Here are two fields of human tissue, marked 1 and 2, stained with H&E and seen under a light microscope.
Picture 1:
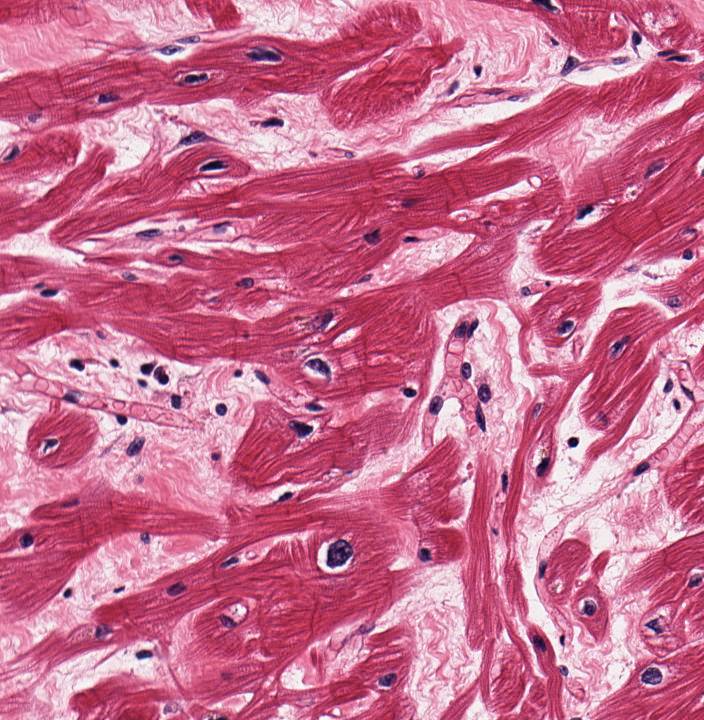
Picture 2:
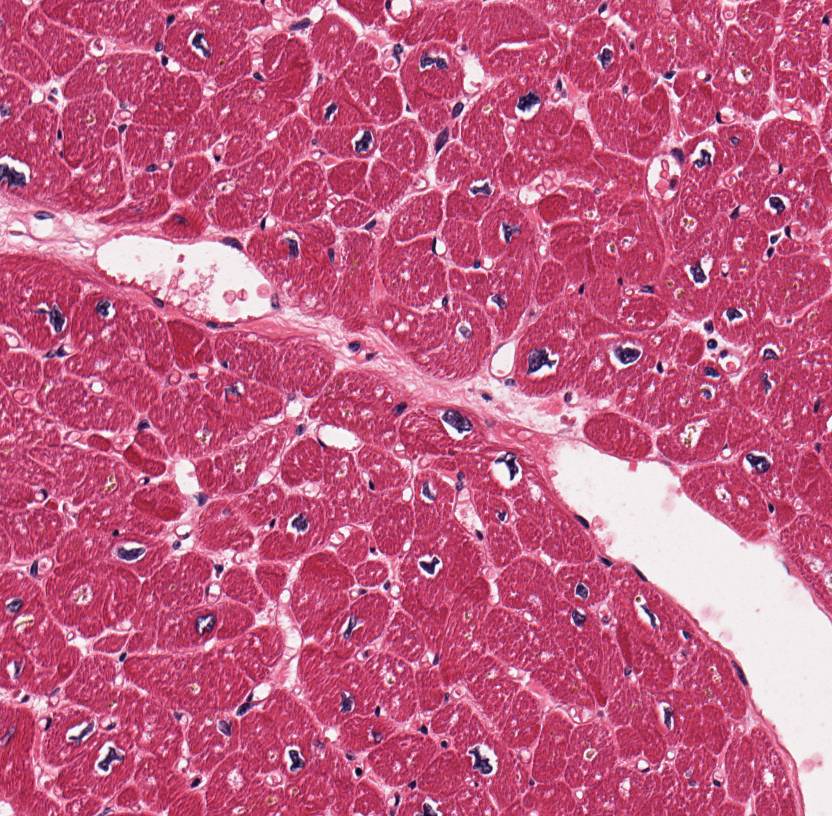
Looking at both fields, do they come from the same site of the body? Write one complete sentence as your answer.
Yes, they come from the same site of the body: both come from the left ventricle of the heart.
